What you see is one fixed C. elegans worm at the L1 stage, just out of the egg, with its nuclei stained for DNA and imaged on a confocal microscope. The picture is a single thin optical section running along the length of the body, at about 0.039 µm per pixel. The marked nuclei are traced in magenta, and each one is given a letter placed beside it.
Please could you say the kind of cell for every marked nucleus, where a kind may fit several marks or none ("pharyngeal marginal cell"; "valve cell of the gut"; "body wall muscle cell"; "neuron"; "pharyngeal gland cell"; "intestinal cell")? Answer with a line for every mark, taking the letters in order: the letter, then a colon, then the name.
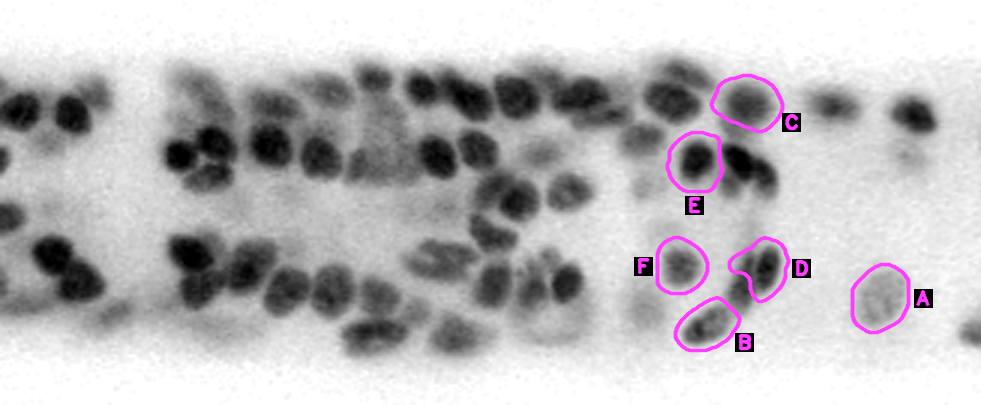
A: intestinal cell
B: body wall muscle cell
C: neuron
D: valve cell of the gut
E: pharyngeal gland cell
F: neuron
